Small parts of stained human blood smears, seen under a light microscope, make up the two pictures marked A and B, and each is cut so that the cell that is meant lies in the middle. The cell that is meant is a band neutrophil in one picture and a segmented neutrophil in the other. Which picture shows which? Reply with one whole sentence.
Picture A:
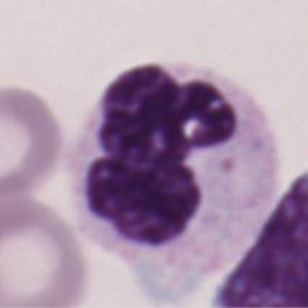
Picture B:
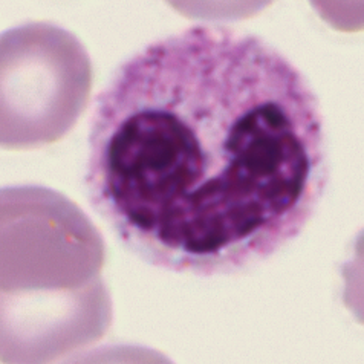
Picture A is of a segmented neutrophil, and picture B is of a band neutrophil.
